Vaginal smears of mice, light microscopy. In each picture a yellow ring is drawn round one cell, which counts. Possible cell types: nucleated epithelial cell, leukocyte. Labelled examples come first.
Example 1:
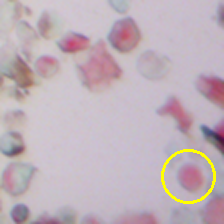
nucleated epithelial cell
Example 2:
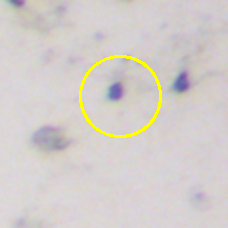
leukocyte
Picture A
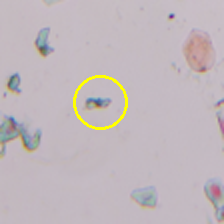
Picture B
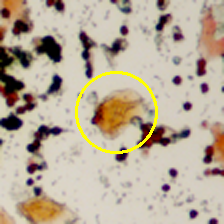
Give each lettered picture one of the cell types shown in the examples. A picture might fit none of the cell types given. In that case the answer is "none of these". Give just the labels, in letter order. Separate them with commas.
none of these, none of these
